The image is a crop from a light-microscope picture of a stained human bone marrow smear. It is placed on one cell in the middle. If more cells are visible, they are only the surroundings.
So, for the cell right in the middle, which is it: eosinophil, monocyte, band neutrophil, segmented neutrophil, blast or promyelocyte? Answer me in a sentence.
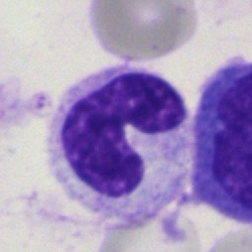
In the middle of this smear crop, the cell is a band neutrophil.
